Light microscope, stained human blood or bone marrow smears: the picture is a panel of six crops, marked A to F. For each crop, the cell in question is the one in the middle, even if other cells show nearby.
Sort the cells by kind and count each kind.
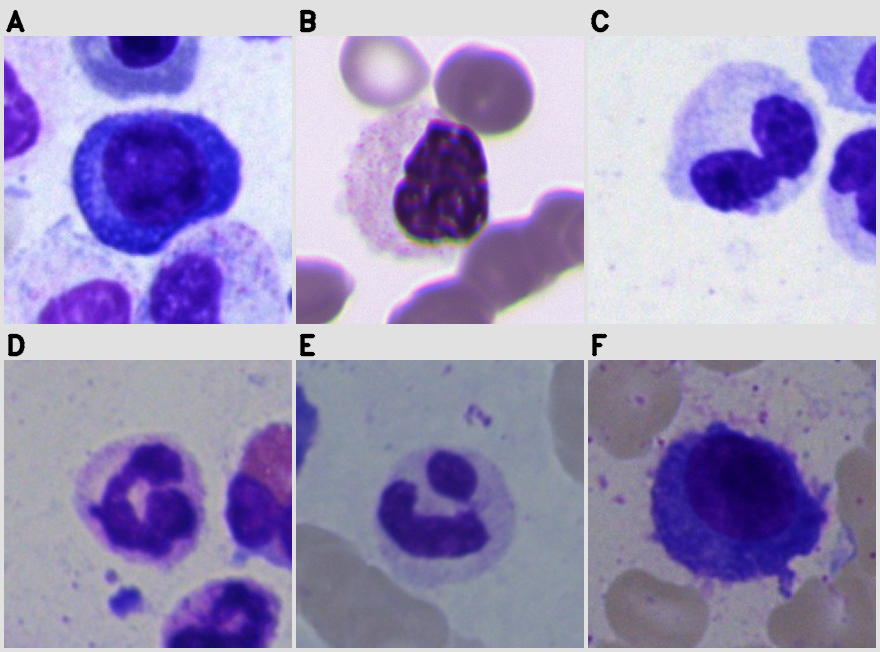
neutrophil: 4
plasma cell: 2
